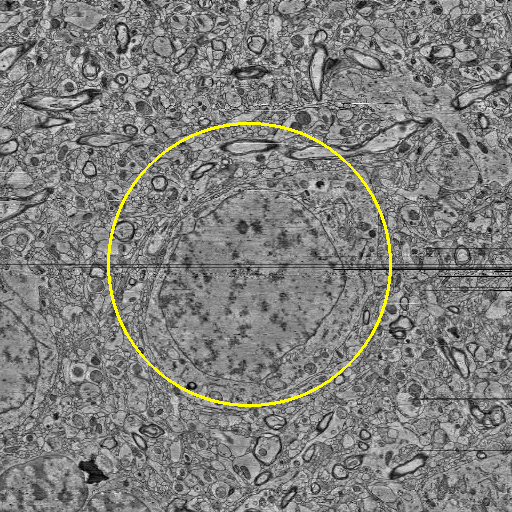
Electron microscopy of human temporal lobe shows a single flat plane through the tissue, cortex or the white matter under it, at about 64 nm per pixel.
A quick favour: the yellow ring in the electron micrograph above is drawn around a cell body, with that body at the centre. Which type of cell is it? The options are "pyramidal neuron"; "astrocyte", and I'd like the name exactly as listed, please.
pyramidal neuron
